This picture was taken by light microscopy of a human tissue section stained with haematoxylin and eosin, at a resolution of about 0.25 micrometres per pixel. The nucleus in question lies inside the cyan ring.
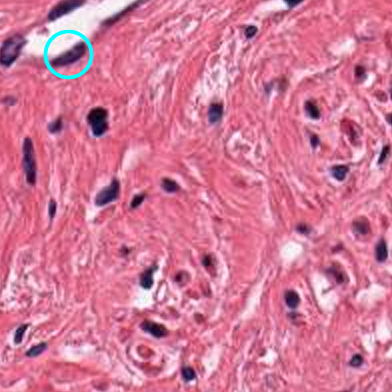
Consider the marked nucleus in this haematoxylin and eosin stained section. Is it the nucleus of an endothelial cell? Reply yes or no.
yes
